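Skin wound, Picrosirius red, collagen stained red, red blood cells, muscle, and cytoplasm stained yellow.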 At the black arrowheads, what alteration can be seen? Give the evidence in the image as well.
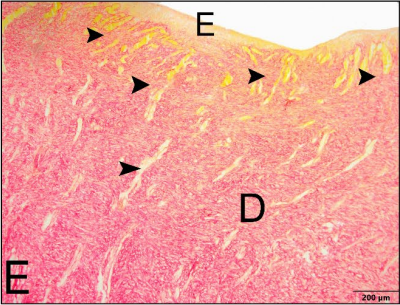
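The arrowheads point at slender yellow-stained streaks in the upper dermis. The streaks run roughly perpendicular to the surface, beneath a yellow surface layer.
Conclusion: neovascularization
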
